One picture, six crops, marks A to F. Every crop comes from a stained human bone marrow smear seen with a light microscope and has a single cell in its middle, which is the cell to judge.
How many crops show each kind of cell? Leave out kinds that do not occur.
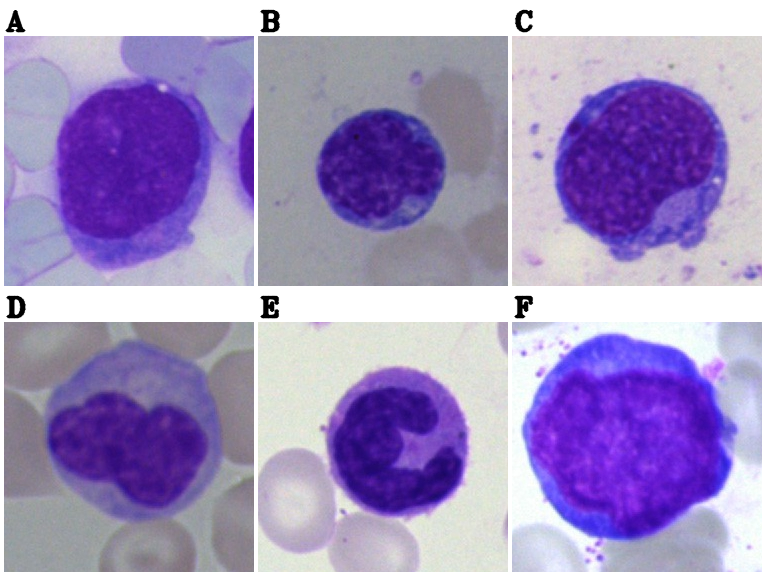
blast: 4
monocyte: 2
